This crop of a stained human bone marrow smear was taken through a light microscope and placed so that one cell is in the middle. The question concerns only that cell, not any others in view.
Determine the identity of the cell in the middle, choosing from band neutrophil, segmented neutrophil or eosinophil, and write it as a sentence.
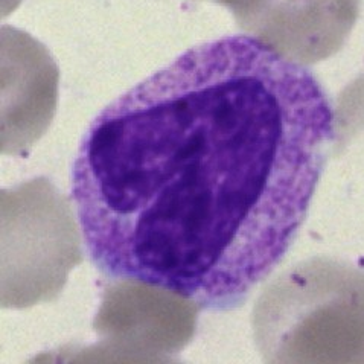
The cell at the middle of the frame should be recorded as a band neutrophil.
